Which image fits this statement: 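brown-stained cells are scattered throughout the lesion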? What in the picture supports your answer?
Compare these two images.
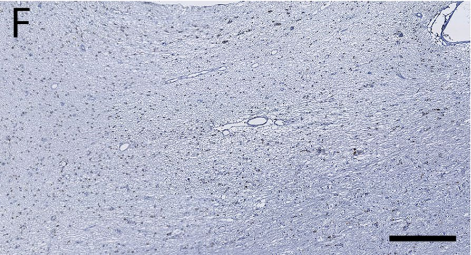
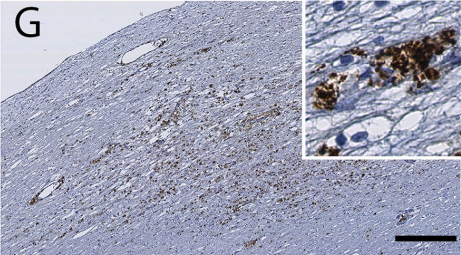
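The second image. Second image: many brown-stained cells are spread across the tissue. First image: the tissue is almost entirely blue with only sparse faint brown dots.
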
